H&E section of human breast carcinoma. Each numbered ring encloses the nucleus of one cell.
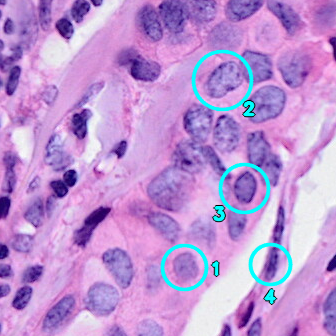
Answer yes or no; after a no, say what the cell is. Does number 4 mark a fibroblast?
Yes.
